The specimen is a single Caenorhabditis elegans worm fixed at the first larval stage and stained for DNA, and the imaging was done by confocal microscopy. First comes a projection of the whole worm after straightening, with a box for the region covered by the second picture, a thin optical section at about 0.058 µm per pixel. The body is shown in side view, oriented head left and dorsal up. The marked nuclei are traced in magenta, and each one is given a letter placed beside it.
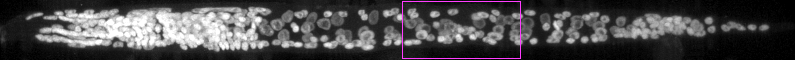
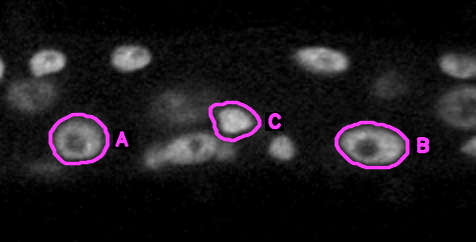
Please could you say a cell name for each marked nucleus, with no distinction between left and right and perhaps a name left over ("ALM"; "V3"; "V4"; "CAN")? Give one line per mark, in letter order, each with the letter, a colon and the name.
A: V3
B: V4
C: CAN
